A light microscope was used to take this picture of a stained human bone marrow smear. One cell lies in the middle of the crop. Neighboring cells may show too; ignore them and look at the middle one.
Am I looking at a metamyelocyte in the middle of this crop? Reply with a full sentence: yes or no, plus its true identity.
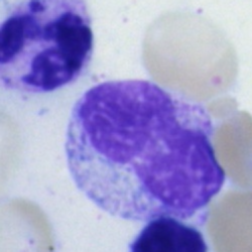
Yes, the identity of the central cell is that of a metamyelocyte.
